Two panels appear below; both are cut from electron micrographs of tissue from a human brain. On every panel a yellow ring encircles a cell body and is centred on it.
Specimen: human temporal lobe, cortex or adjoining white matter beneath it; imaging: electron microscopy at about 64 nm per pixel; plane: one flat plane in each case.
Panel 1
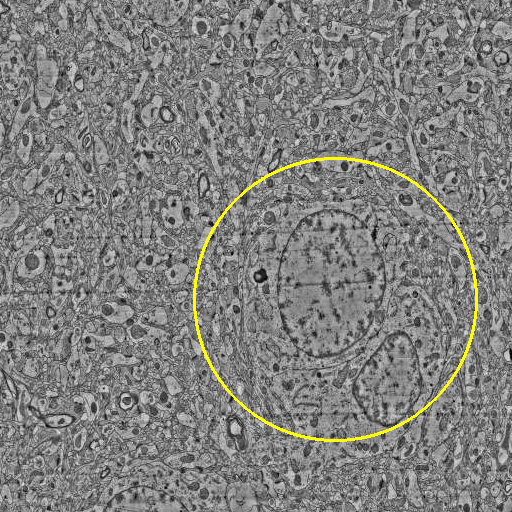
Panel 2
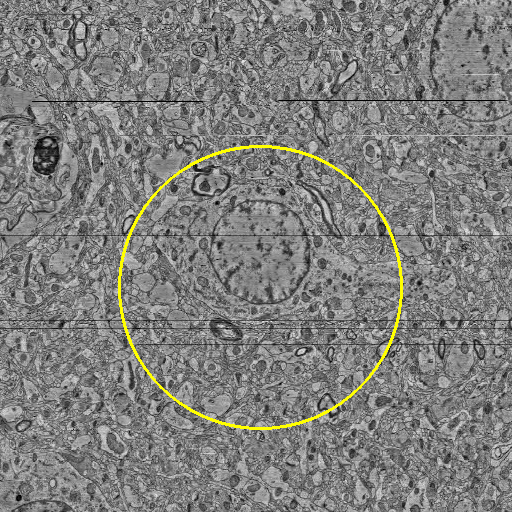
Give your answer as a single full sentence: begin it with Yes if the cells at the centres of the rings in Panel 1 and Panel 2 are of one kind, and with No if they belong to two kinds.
Yes, the cells in the middle of the rings in Panels 1 and 2 are of one kind.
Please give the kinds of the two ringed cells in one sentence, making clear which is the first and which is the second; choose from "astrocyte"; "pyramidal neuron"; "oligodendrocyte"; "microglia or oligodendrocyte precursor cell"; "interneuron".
In each of the two pictures, the ringed cell is a pyramidal neuron.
